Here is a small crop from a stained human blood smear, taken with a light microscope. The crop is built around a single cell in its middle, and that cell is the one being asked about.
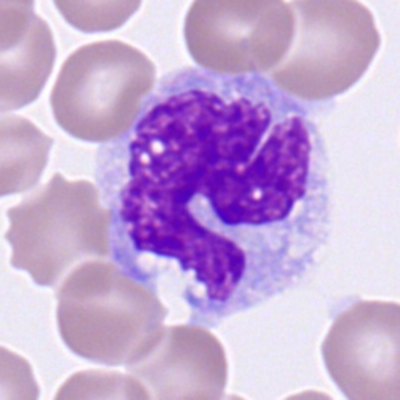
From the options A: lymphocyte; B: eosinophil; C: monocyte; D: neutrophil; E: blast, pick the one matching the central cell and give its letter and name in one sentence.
In the centre of the crop there is a monocyte, making option C correct.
